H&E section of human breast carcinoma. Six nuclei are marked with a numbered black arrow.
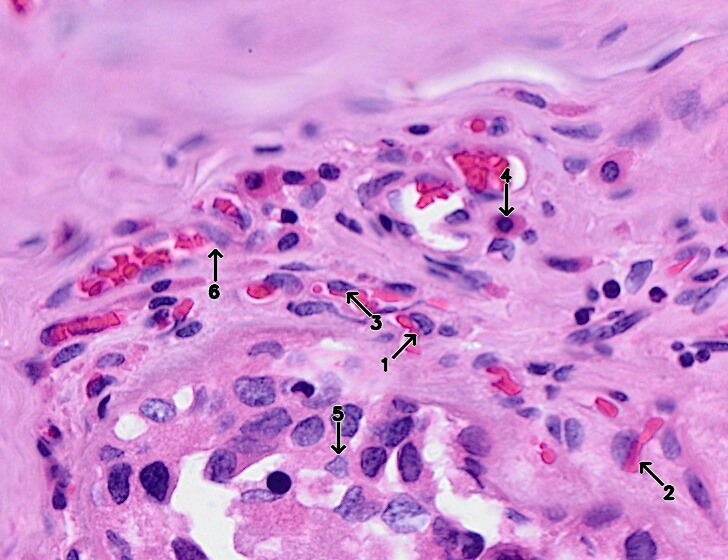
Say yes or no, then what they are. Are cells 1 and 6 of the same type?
Yes, both are endothelial cells.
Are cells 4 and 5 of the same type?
No, cell 4 is a mast cell and cell 5 is a carcinoma cell.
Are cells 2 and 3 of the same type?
Yes, both are endothelial cells.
